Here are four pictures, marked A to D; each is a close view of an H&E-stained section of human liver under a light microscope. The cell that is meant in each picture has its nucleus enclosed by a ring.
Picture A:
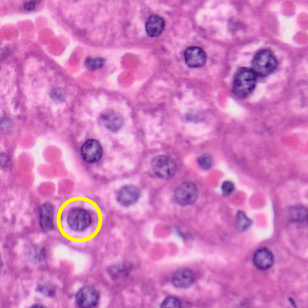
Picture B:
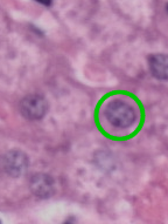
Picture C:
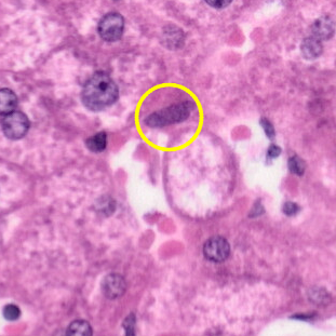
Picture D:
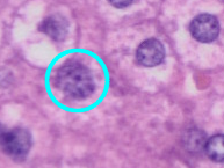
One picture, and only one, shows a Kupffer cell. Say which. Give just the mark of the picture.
C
